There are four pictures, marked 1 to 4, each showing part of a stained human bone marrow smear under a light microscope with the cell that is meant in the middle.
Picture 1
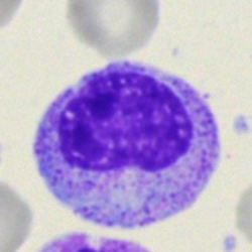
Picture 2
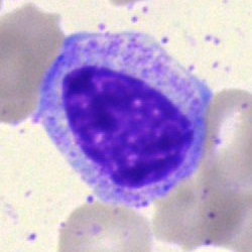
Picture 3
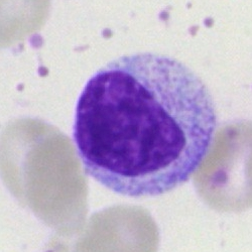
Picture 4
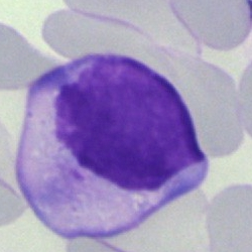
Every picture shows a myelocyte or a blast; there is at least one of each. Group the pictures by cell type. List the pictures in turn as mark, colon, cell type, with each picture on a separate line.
1: myelocyte
2: myelocyte
3: myelocyte
4: blast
